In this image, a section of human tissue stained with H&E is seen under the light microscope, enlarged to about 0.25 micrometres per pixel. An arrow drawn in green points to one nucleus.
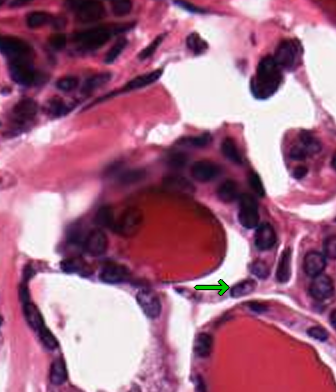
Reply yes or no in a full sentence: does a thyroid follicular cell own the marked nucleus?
Yes, in the picture the marked nucleus belongs to a thyroid follicular cell.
